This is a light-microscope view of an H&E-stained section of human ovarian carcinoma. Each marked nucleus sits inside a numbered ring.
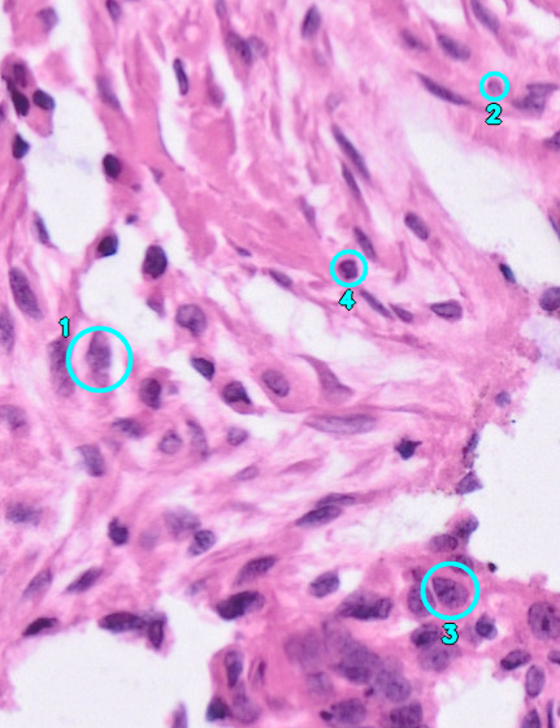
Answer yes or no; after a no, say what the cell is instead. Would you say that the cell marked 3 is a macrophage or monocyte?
Yes.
